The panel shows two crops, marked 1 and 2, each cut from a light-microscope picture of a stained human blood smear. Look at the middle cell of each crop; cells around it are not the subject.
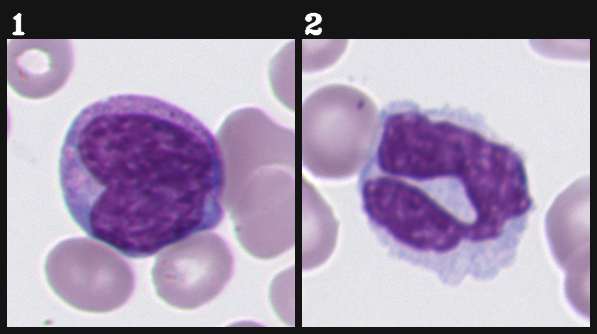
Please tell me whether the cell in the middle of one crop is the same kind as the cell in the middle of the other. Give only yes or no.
no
